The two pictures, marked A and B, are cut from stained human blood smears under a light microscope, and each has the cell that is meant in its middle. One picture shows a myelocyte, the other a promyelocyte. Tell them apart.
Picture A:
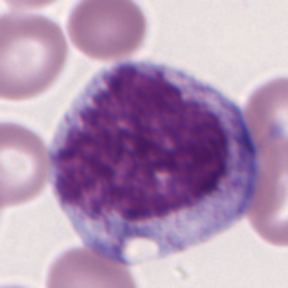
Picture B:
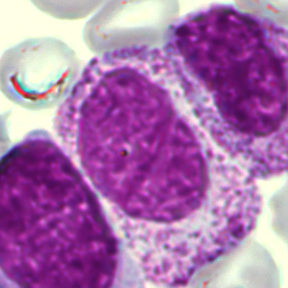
A: promyelocyte
B: myelocyte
